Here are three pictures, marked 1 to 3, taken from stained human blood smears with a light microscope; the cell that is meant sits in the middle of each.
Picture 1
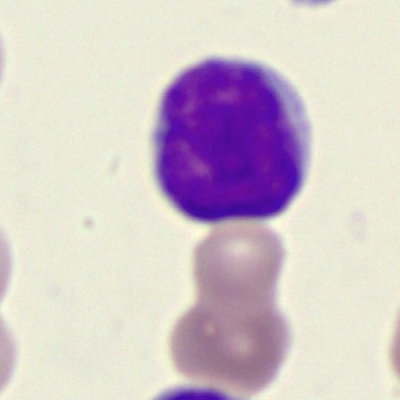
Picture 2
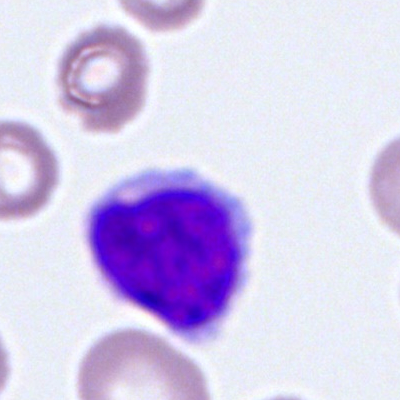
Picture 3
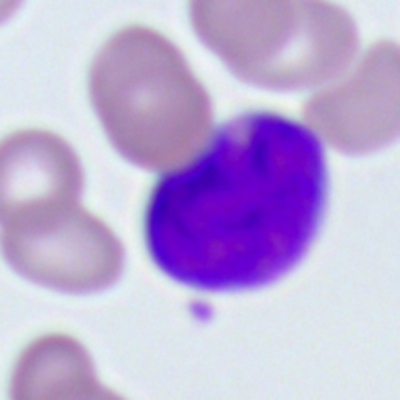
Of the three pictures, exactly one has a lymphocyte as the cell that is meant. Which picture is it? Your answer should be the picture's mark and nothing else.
2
